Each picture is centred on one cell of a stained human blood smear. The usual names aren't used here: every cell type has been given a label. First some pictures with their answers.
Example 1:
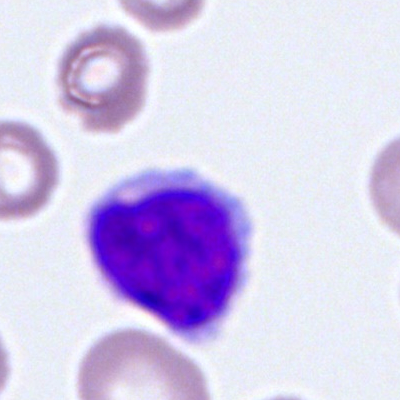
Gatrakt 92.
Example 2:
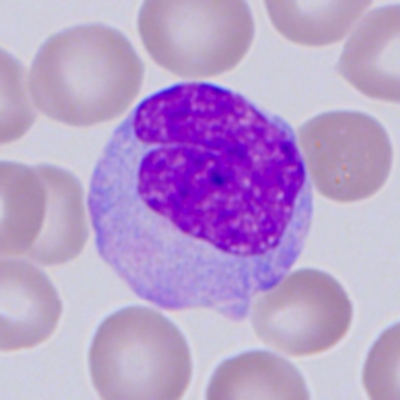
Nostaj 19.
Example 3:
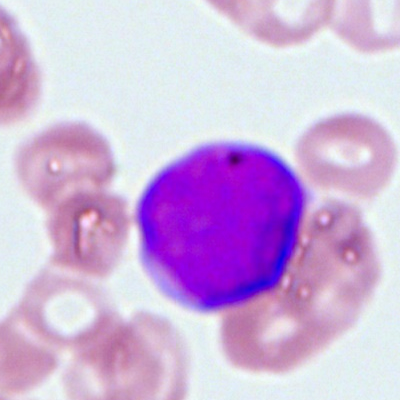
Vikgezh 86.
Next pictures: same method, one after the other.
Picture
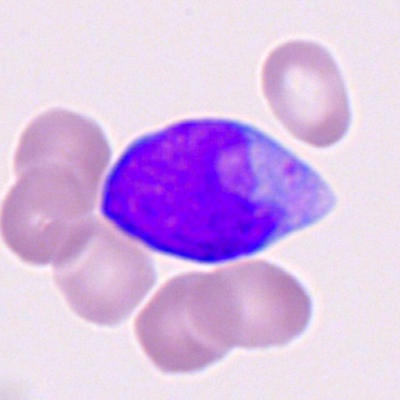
Vikgezh 86.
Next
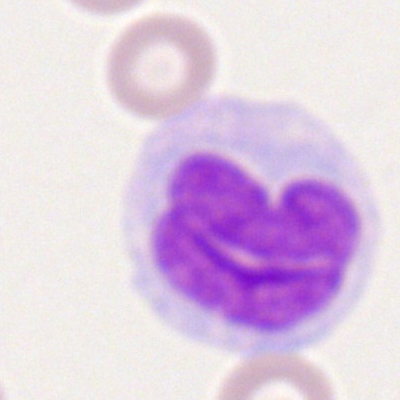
Nostaj 19.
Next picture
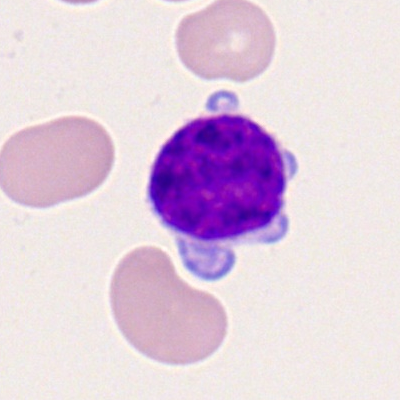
Gatrakt 92.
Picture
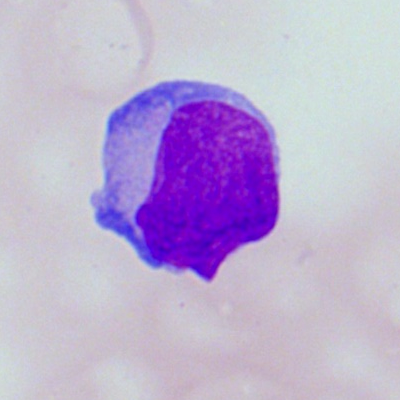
Vikgezh 86.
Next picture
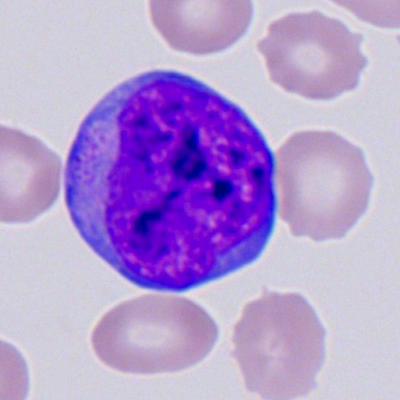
Vikgezh 86.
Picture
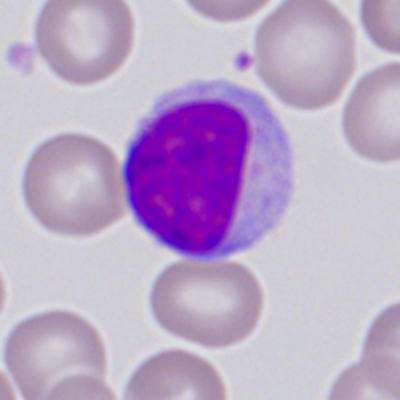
Gatrakt 92.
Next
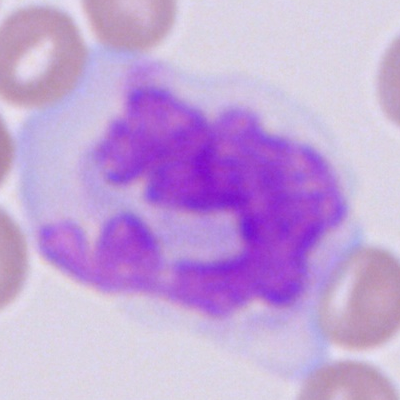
Nostaj 19.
